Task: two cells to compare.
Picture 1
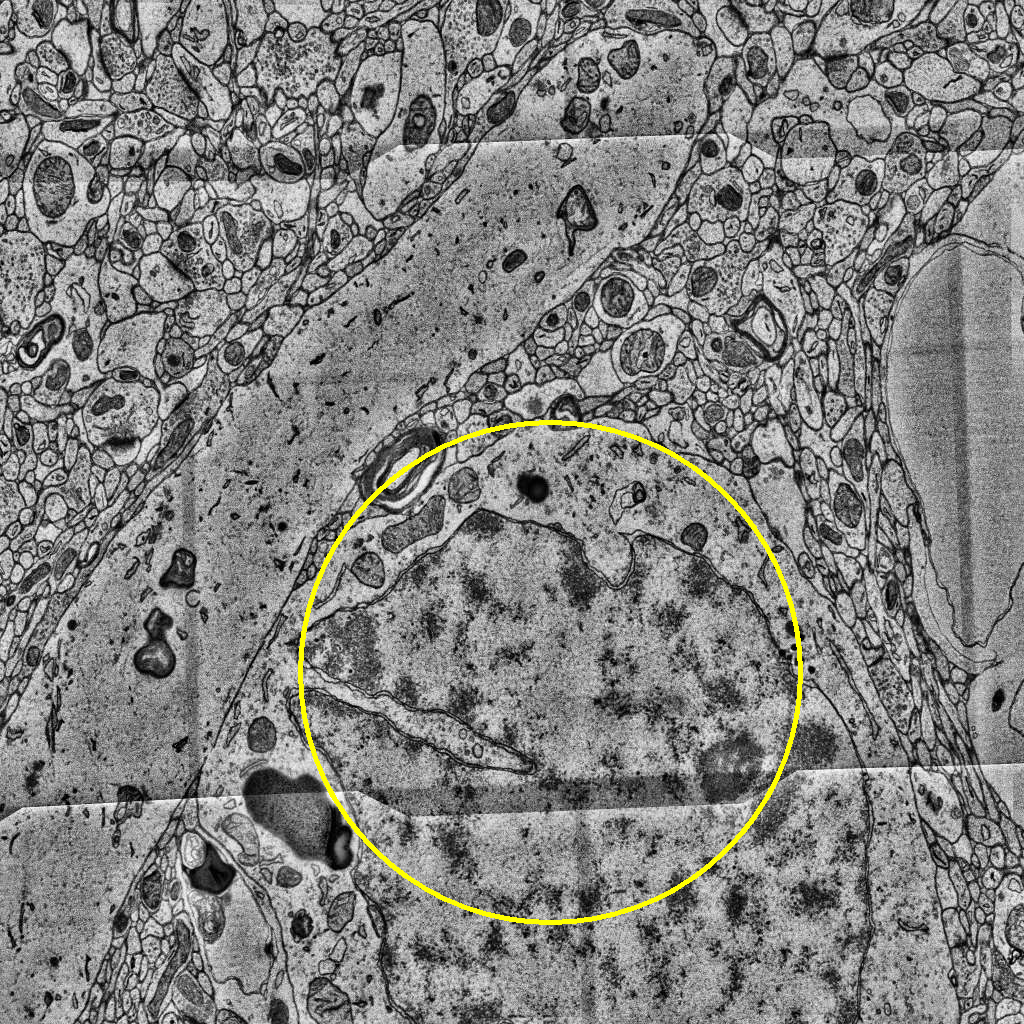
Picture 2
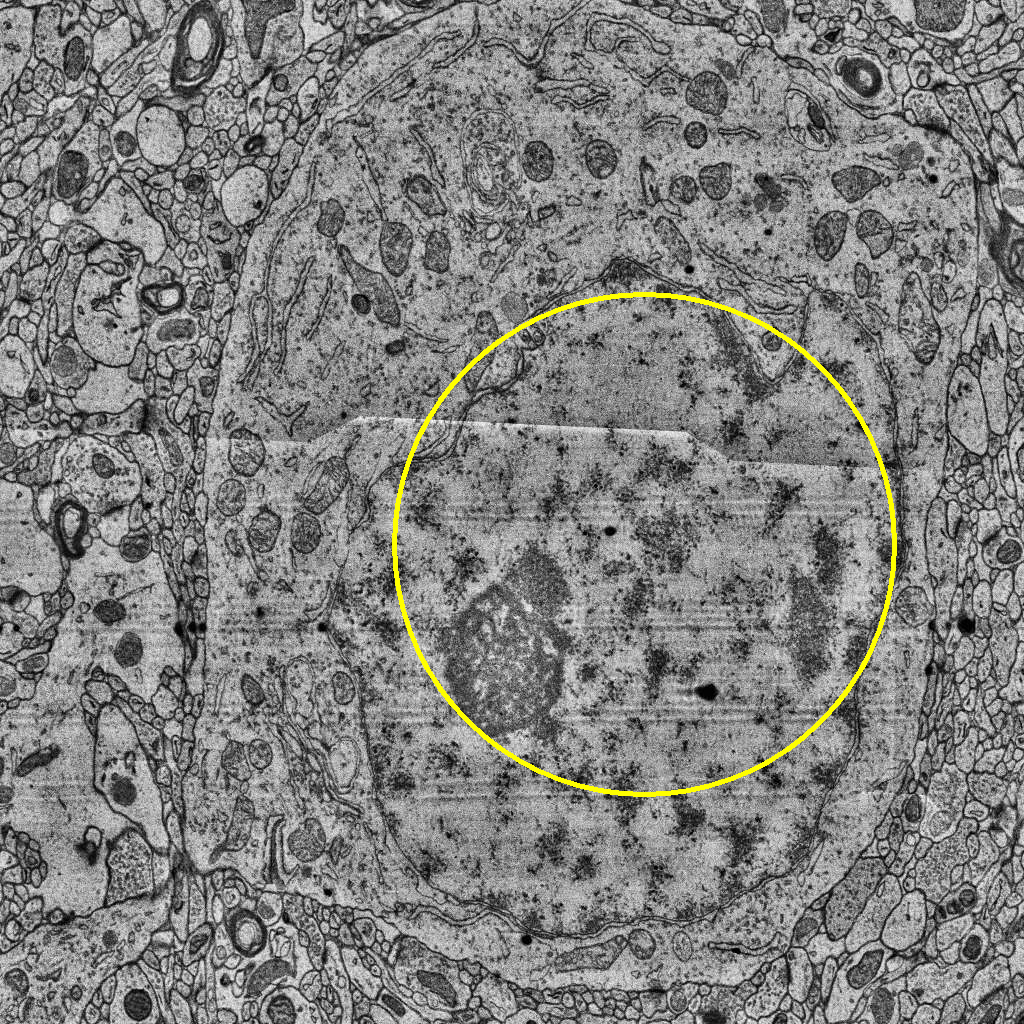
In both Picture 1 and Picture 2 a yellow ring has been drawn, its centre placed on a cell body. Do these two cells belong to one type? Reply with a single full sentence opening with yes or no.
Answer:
Yes, the two cells at the ring centres in Picture 1 and Picture 2 share one type.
